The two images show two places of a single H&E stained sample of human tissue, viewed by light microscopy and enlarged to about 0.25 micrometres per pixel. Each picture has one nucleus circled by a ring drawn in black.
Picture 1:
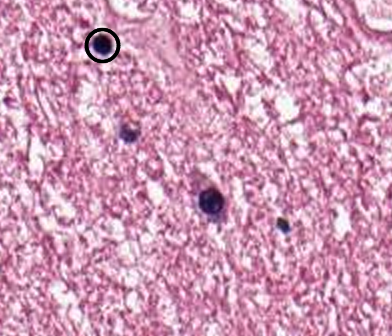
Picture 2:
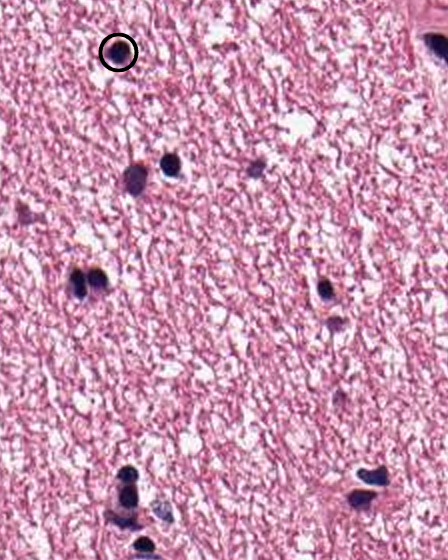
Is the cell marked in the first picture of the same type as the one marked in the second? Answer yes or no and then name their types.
Yes, both are oligodendrocytes.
